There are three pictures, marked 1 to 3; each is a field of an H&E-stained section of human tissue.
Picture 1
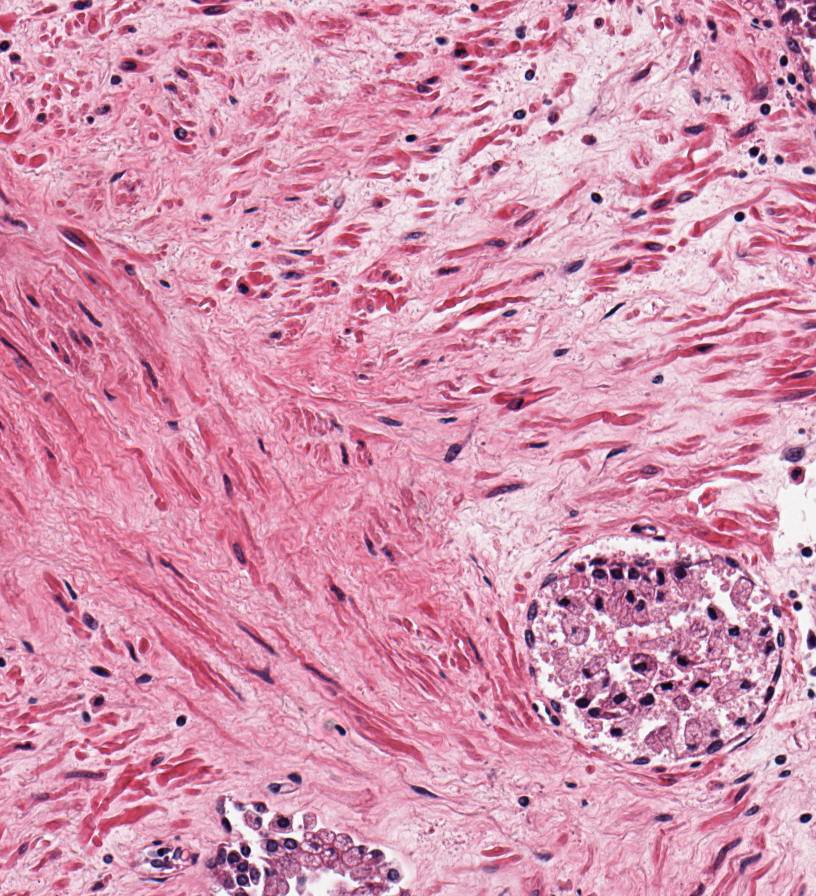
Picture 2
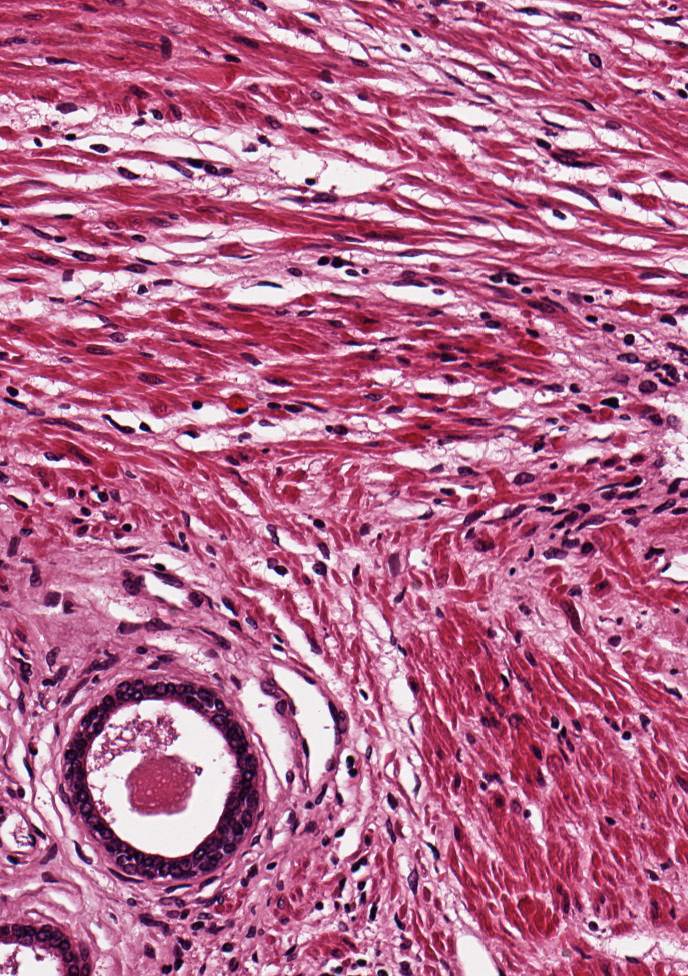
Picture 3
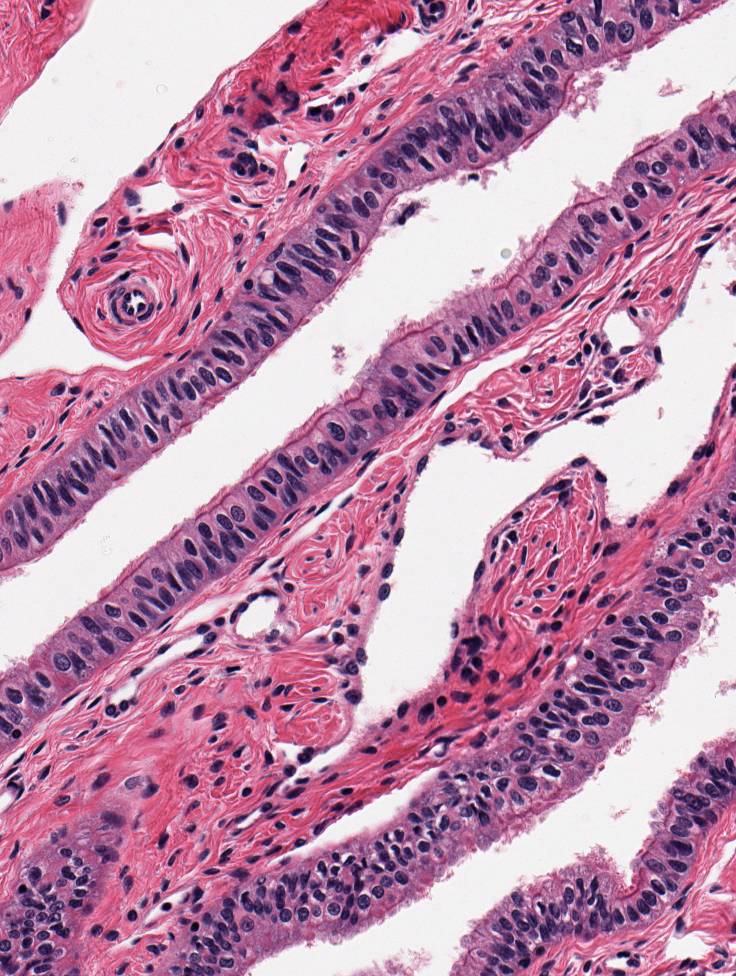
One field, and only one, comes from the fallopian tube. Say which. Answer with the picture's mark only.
3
